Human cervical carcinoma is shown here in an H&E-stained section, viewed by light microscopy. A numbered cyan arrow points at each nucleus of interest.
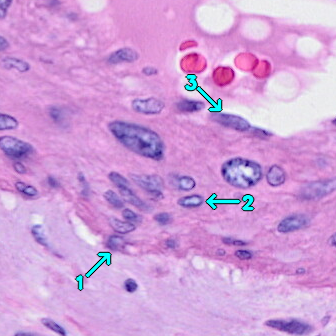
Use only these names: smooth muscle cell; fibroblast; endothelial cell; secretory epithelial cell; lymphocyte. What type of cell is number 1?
smooth muscle cell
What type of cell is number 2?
smooth muscle cell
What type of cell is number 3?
endothelial cell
